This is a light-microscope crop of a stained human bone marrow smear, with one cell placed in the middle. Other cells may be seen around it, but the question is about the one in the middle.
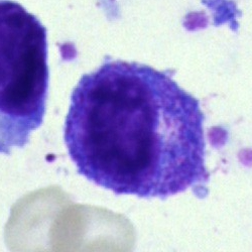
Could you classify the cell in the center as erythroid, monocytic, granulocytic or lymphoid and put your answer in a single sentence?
Lineage of the cell at the center of this crop: granulocytic.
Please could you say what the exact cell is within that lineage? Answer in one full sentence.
The crop shows a promyelocyte in its centre.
